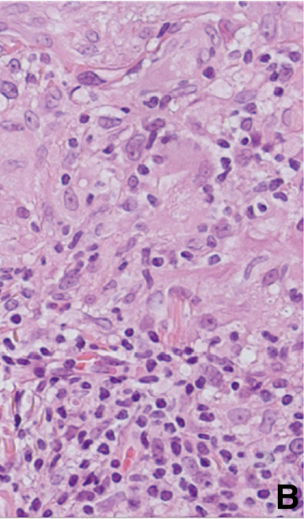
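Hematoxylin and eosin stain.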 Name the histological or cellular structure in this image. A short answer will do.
Epithelioid cell granulomas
